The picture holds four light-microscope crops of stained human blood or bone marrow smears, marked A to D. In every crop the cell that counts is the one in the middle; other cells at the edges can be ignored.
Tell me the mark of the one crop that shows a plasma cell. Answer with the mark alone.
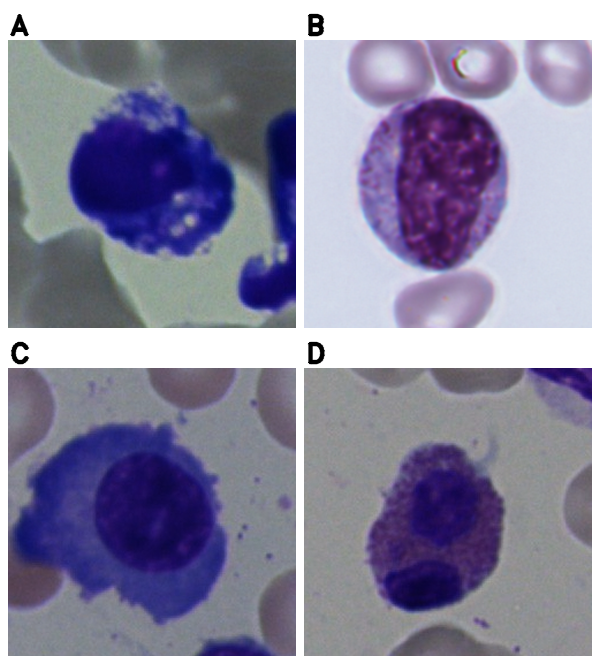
C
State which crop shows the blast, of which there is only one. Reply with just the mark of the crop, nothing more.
A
